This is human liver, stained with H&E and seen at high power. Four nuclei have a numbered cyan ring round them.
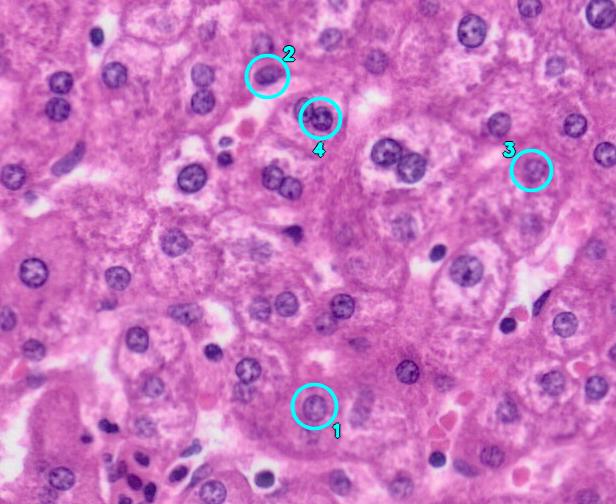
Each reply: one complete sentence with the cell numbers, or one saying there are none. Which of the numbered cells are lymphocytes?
The cells whose nuclei carry numbers are not lymphocytes.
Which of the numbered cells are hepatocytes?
The cells carrying labels 1, 3 and 4 are hepatocytes.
